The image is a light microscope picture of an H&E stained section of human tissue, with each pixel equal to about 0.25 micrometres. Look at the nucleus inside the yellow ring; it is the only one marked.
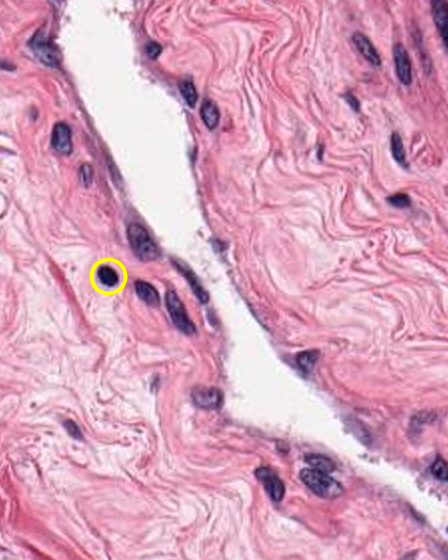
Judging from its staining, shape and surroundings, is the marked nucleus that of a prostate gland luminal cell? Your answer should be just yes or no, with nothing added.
no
